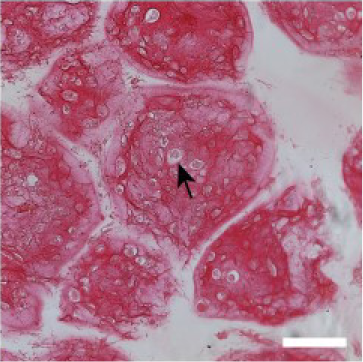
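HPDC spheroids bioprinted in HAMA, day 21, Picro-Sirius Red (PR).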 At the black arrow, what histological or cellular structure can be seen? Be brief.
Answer: Lacunae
